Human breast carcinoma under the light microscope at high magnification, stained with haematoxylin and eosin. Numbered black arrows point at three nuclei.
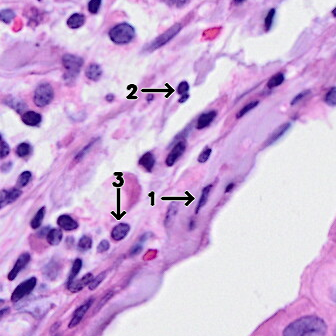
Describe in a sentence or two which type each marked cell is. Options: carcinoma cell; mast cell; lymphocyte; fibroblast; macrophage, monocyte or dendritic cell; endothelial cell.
Cell 1 is a fibroblast. Cells 2 and 3 are lymphocytes.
